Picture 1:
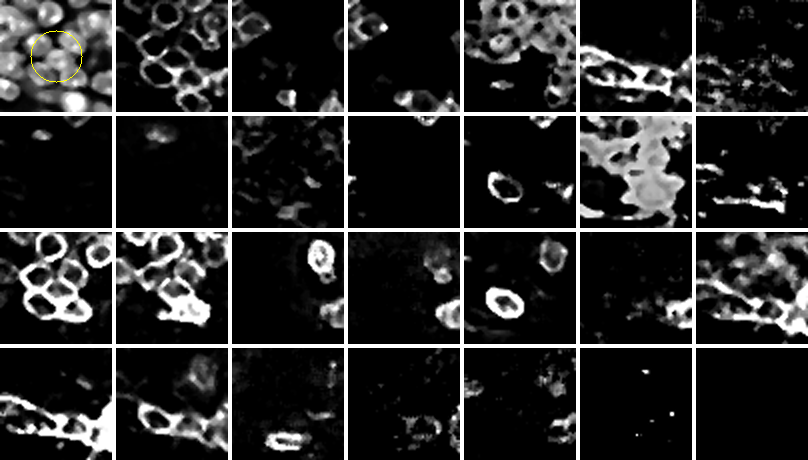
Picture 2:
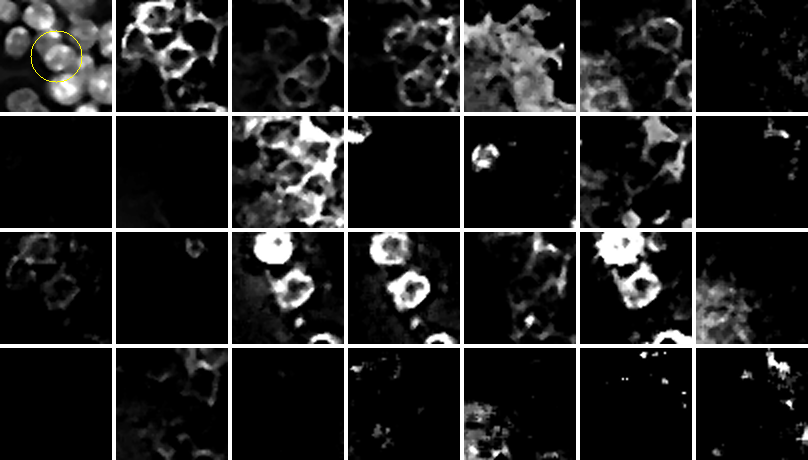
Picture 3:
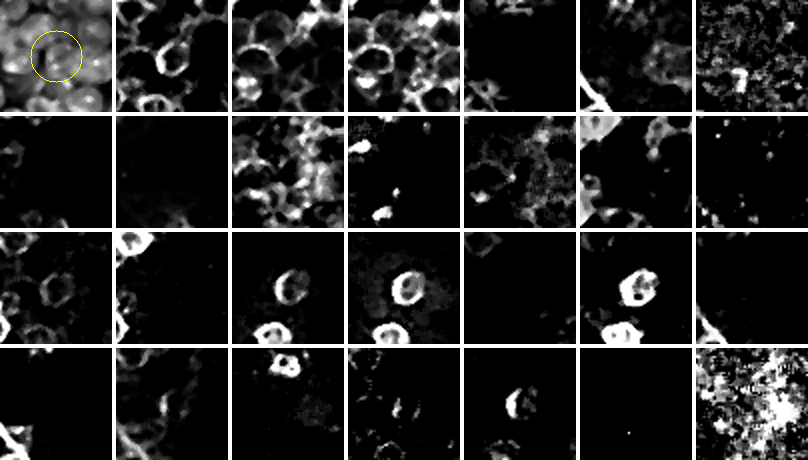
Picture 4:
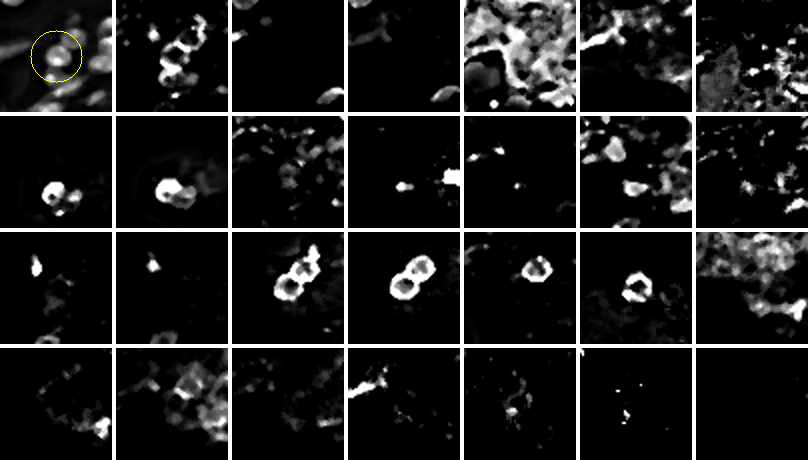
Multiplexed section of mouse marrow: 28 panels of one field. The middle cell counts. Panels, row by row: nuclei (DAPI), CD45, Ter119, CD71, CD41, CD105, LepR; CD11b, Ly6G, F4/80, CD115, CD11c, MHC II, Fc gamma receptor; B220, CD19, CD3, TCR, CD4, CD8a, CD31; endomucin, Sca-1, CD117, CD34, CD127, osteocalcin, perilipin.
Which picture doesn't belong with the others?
Picture 1.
